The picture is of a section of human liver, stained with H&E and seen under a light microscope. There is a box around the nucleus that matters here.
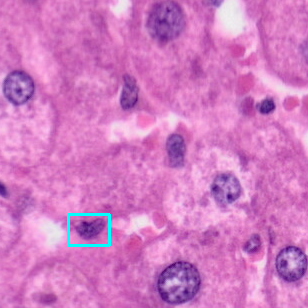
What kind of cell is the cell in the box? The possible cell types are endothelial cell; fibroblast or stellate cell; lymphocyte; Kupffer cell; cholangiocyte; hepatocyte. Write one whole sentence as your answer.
The cell in the box is a fibroblast or stellate cell.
